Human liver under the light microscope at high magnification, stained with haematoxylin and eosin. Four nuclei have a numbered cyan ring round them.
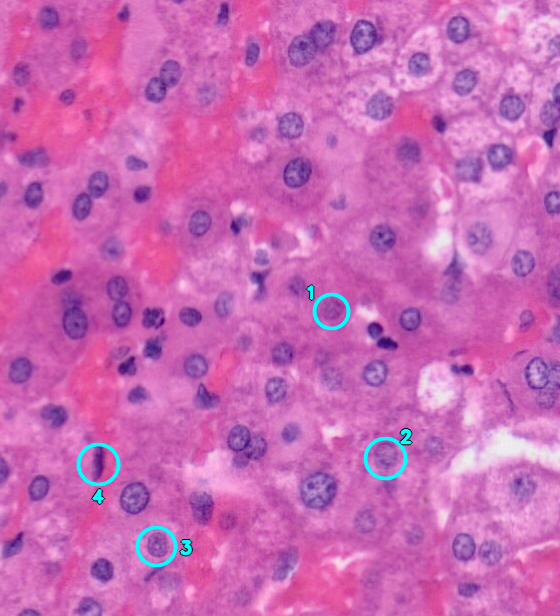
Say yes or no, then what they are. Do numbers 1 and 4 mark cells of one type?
No, by type, cell 1 is a hepatocyte and cell 4 is an endothelial cell.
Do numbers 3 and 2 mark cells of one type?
Yes, cell number 3 and cell number 2 are both hepatocytes.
